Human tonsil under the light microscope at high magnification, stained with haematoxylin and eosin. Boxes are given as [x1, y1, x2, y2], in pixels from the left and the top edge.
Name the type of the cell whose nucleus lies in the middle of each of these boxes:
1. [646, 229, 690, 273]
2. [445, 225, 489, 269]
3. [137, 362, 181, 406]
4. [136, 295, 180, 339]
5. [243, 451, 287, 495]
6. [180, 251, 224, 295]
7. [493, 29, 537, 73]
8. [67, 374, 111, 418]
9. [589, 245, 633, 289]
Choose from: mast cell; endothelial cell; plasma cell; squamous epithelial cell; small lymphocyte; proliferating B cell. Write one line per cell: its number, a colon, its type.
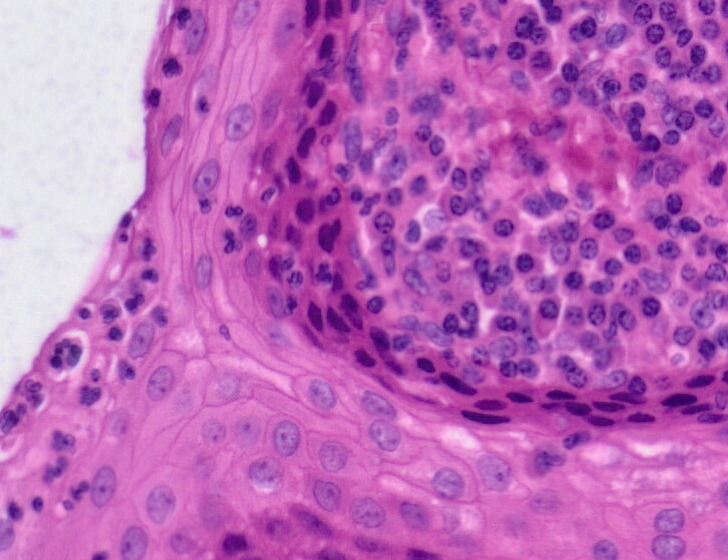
1: plasma cell
2: plasma cell
3: squamous epithelial cell
4: squamous epithelial cell
5: squamous epithelial cell
6: squamous epithelial cell
7: plasma cell
8: squamous epithelial cell
9: plasma cell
